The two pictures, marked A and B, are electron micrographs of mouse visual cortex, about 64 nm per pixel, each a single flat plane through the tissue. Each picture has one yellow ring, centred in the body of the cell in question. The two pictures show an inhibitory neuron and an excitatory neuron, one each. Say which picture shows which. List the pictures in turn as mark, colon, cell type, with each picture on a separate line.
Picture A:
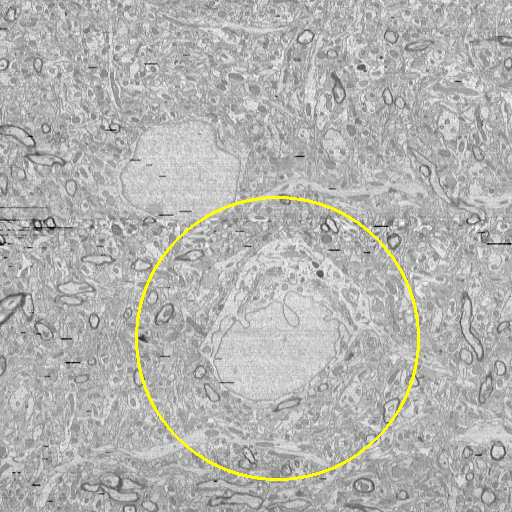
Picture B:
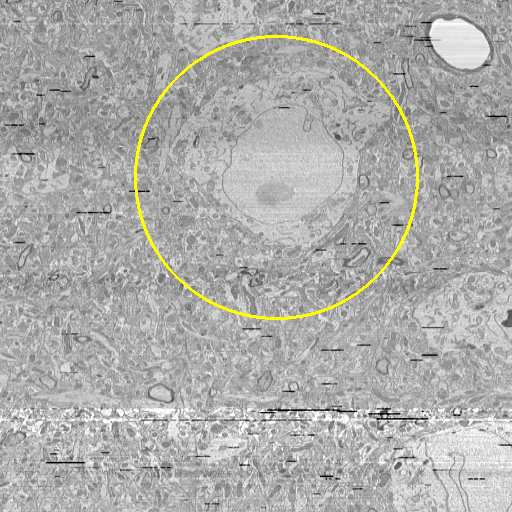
A: inhibitory neuron
B: excitatory neuron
